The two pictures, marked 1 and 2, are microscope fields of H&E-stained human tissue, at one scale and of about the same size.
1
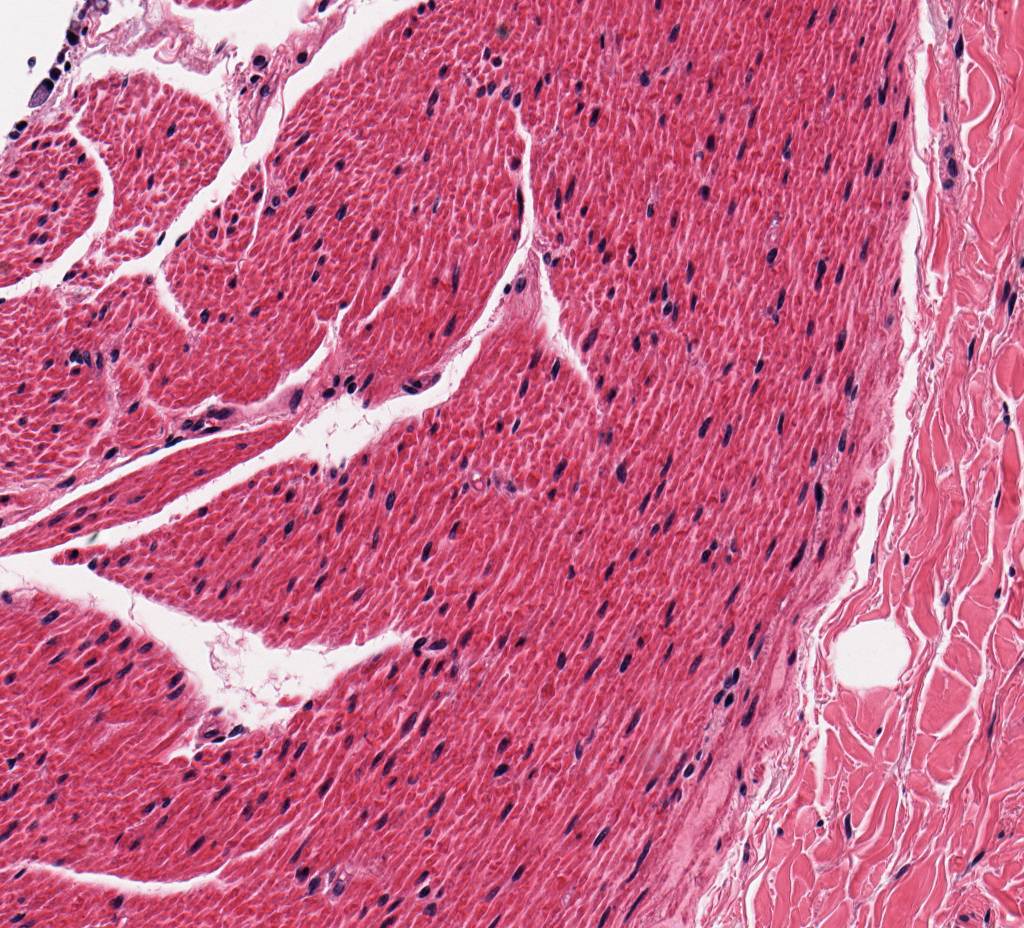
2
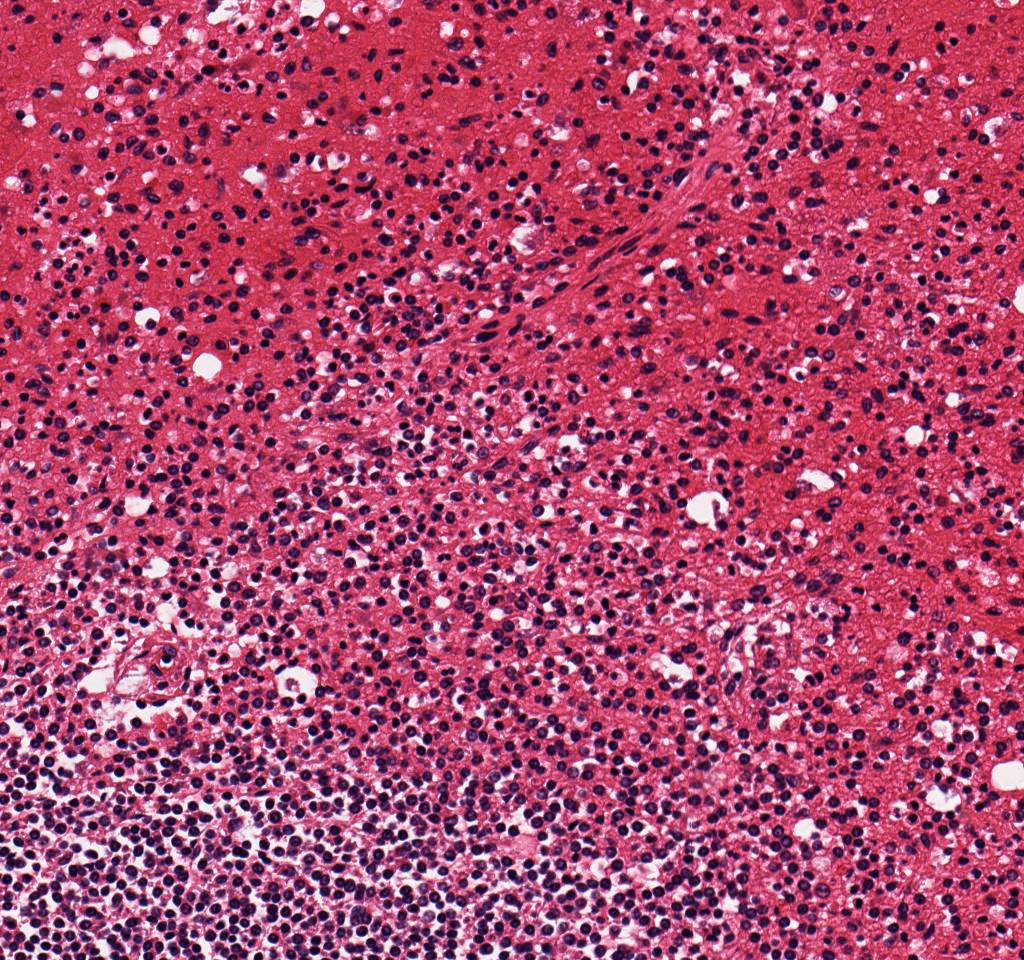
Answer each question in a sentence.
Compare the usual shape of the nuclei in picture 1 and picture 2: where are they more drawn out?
It is picture 1 whose nuclei are the more elongated.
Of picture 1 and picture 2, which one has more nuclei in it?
Picture 2 holds more nuclei than picture 1.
